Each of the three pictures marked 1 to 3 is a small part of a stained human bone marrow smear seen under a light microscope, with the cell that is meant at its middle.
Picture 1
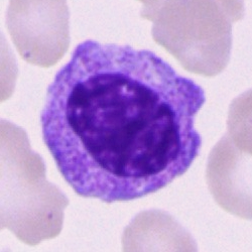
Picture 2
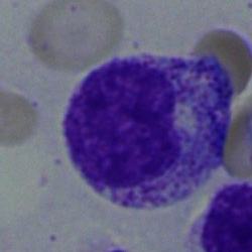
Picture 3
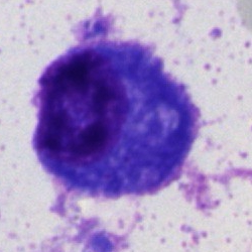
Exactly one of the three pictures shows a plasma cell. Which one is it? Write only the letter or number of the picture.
3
